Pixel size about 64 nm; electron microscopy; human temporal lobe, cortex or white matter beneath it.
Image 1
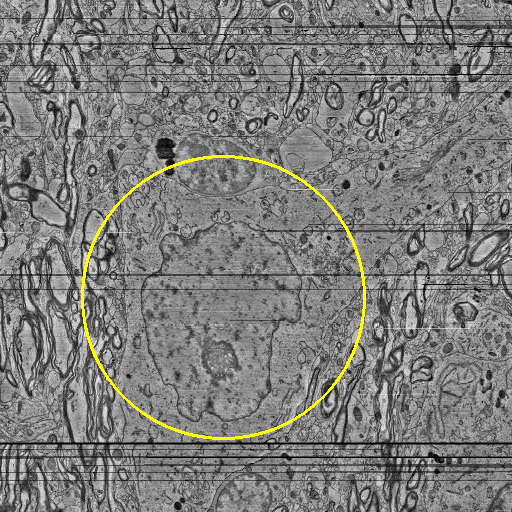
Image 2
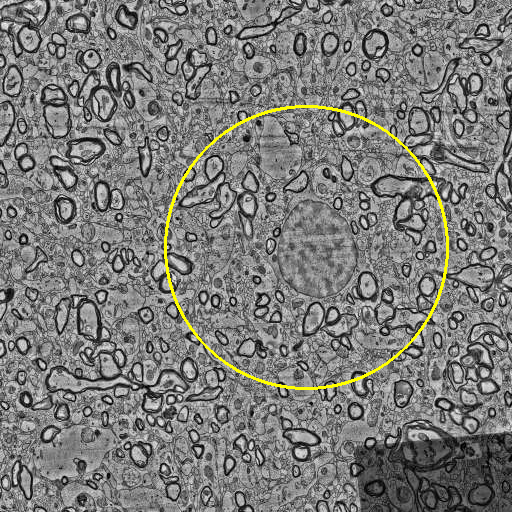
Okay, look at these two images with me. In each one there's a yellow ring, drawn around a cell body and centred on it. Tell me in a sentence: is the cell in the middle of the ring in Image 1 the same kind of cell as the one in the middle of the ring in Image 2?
No, they're two kinds of cell.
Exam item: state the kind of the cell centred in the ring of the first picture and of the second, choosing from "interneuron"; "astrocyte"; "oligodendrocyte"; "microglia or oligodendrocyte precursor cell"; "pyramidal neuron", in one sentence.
The first picture shows a pyramidal neuron at the ring centre and the second shows an oligodendrocyte.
